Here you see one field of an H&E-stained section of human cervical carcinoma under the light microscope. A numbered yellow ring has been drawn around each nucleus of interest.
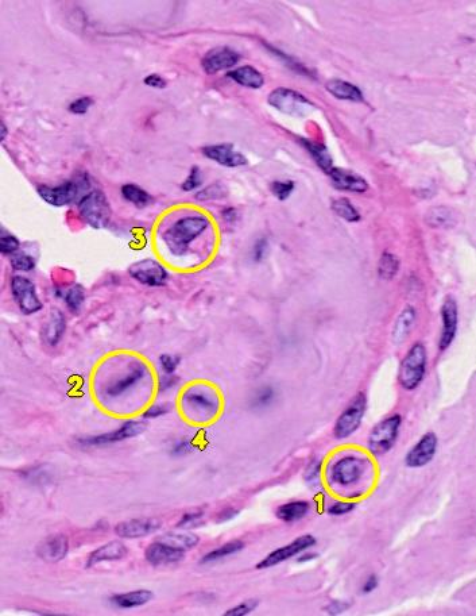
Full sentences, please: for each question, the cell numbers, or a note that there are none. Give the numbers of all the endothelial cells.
The cells that have numbers 1 and 3 are endothelial cells.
